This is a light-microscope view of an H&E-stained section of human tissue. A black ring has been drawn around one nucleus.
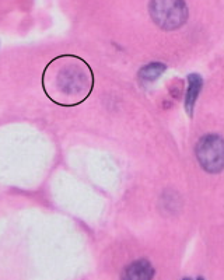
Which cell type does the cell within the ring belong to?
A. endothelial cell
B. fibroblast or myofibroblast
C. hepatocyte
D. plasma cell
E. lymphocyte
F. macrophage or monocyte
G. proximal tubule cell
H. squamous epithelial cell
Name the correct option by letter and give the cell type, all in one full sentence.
In agreement with option G, the cell within the ring is a proximal tubule cell.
